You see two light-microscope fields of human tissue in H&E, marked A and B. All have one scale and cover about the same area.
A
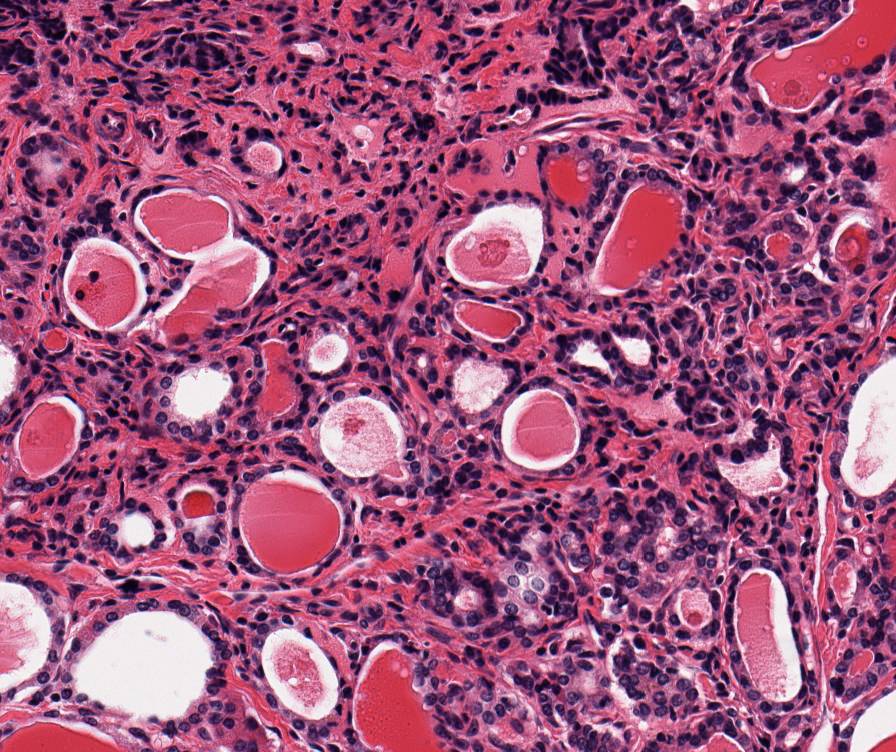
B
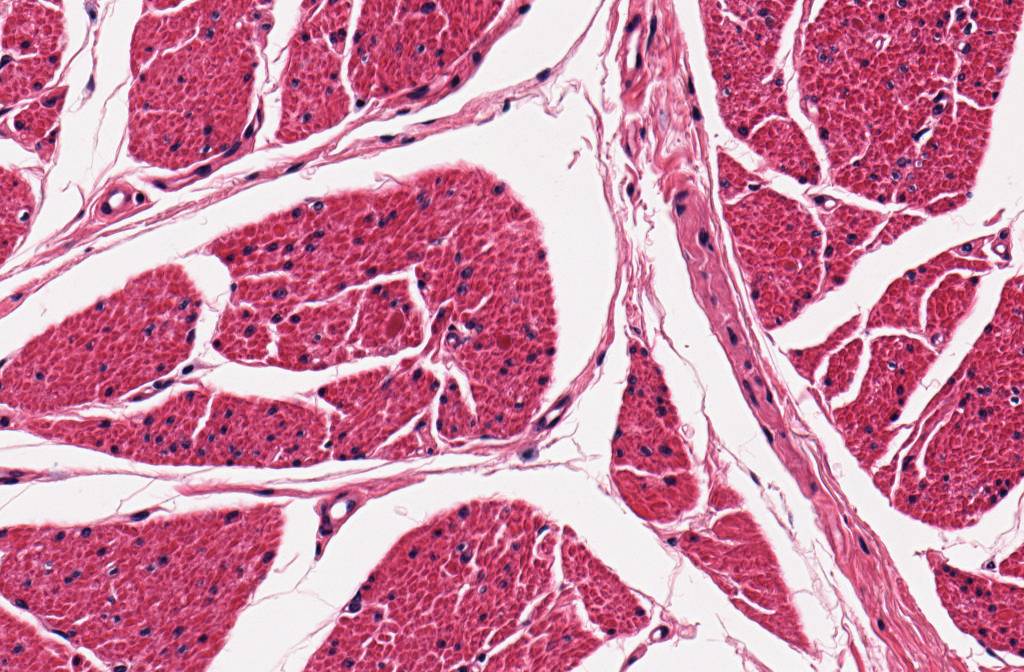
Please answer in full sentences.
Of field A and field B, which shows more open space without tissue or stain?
More of field B is empty and white.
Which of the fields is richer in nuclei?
It is field A that has more nuclei in it.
